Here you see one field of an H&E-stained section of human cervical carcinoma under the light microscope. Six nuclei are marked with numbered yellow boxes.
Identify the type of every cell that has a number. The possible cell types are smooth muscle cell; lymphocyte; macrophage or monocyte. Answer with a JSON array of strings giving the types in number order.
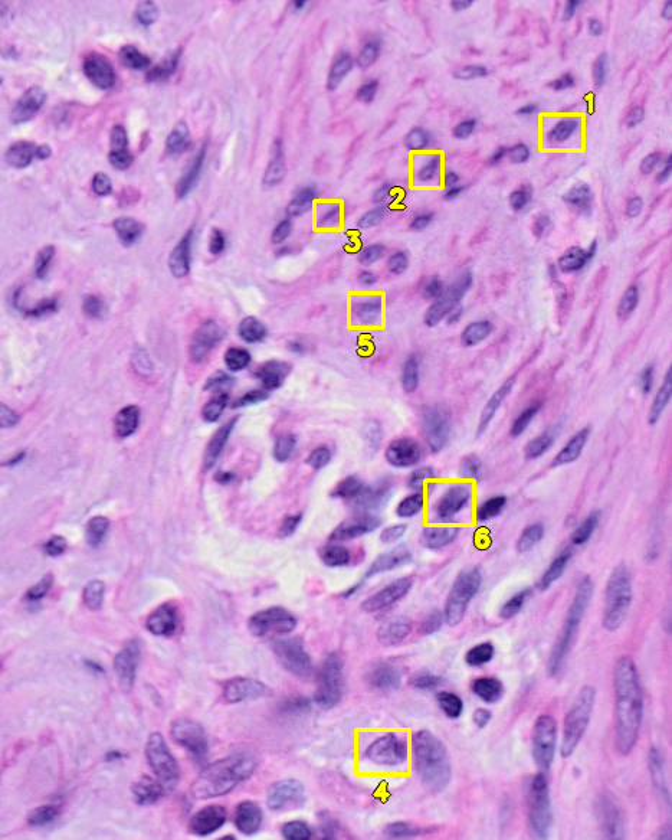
["smooth muscle cell", "smooth muscle cell", "smooth muscle cell", "macrophage or monocyte", "smooth muscle cell", "lymphocyte"]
